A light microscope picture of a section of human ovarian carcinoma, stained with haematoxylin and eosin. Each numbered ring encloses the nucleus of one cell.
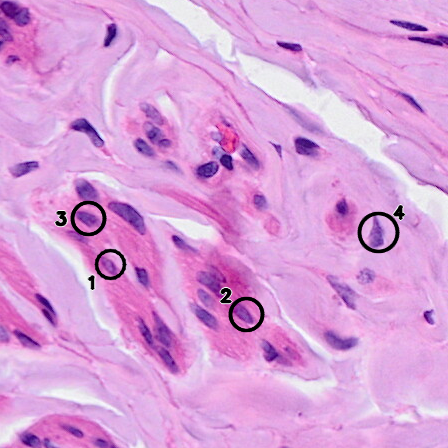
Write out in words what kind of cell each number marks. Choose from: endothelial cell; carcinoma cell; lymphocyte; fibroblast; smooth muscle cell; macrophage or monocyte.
Cells 1, 2 and 3 are smooth muscle cells. Cell 4 is a fibroblast.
